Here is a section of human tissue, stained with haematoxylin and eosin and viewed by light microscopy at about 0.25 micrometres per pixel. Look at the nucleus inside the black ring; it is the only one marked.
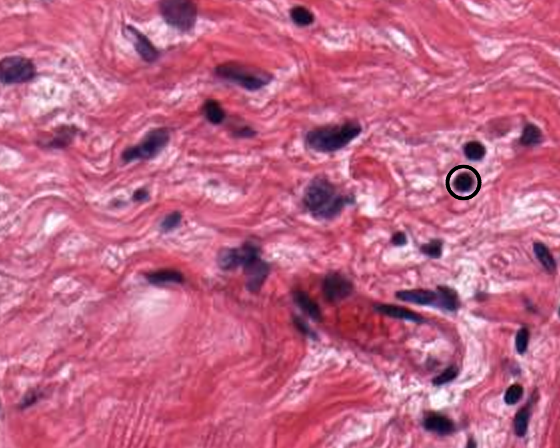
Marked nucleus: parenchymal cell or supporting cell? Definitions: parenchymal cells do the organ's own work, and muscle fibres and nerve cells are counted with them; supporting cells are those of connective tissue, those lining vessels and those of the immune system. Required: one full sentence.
Housed within a supporting cell is the marked nucleus.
